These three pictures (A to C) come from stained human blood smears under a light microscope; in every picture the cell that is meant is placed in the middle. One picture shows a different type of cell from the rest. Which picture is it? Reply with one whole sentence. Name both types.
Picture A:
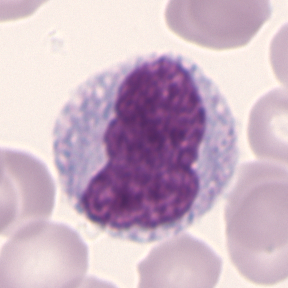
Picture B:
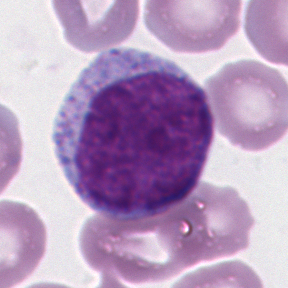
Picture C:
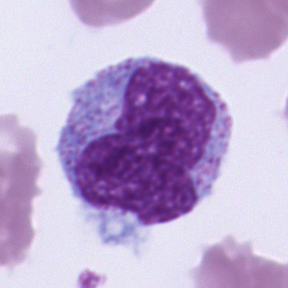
Unlike the rest, which show monocytes, picture B shows a promyelocyte.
